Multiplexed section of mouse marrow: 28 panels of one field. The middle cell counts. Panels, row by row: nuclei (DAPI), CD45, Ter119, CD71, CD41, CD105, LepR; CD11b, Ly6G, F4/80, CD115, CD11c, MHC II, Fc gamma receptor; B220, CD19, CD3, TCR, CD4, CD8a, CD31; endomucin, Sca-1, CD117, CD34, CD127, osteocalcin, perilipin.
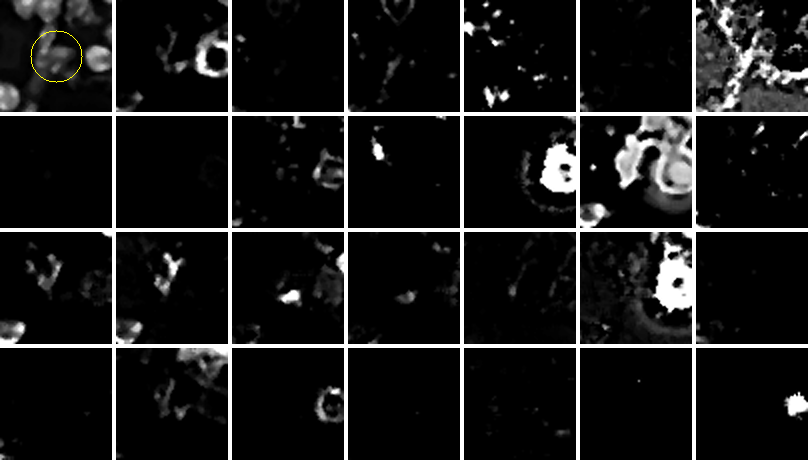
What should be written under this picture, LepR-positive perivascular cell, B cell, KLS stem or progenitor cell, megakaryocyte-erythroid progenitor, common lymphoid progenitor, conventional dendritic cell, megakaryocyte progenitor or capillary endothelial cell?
LepR-positive perivascular cell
